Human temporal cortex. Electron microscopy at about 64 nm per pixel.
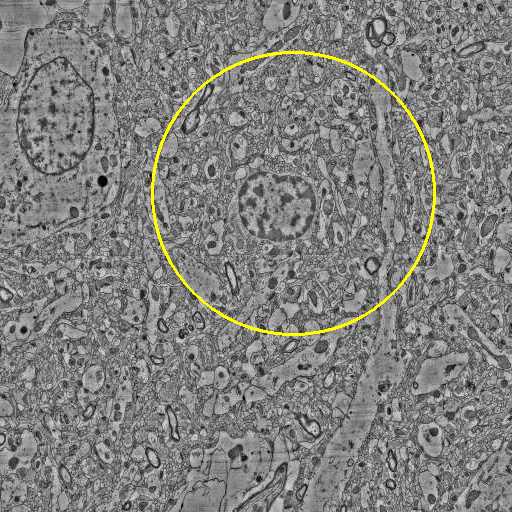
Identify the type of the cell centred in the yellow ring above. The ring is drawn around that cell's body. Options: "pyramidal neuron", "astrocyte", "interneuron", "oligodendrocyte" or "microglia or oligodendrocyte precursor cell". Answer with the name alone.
microglia or oligodendrocyte precursor cell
